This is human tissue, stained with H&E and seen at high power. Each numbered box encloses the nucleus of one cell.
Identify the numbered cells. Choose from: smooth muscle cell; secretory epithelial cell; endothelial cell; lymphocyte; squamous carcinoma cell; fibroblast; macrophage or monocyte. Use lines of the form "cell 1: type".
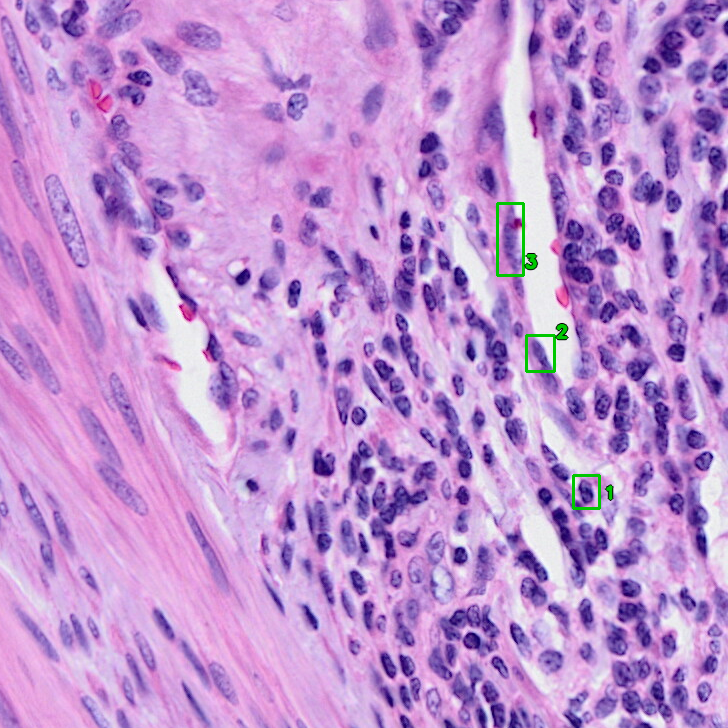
cell 1: lymphocyte
cell 2: endothelial cell
cell 3: endothelial cell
